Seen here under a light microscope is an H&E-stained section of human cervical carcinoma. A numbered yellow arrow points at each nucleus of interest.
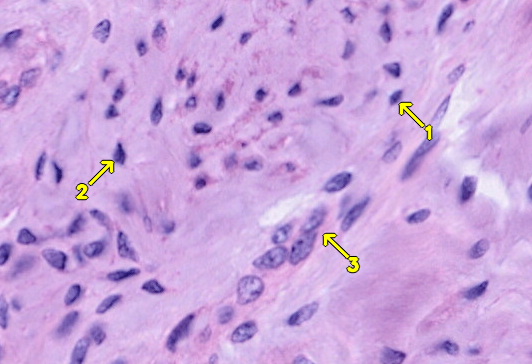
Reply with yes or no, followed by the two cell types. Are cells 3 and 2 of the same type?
No, just to clarify, cell 3 is an endothelial cell and cell 2 is a fibroblast.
